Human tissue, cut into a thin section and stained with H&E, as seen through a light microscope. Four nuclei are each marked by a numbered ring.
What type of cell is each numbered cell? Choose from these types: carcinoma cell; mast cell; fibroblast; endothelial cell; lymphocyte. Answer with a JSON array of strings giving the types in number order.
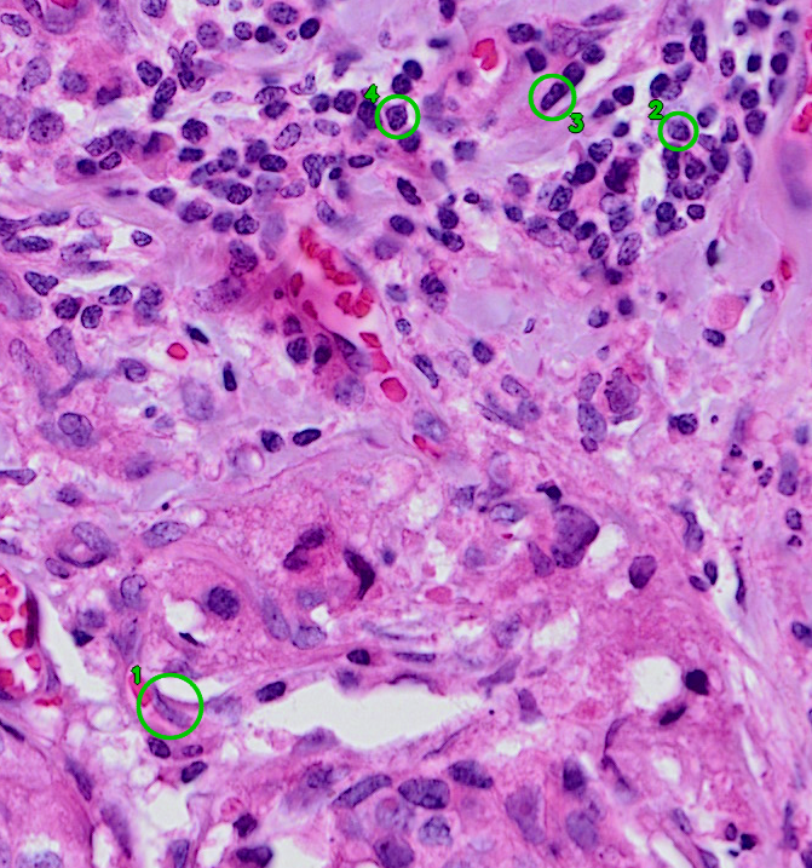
["endothelial cell", "lymphocyte", "lymphocyte", "lymphocyte"]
